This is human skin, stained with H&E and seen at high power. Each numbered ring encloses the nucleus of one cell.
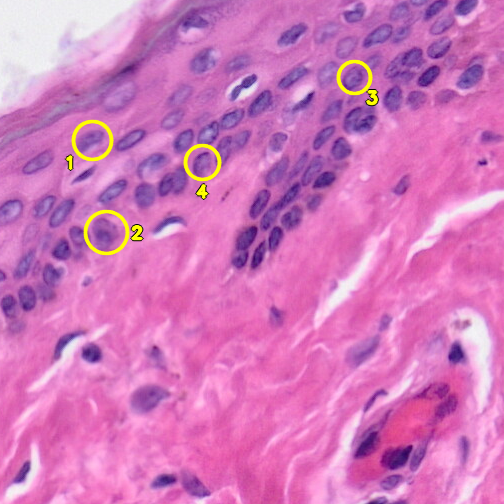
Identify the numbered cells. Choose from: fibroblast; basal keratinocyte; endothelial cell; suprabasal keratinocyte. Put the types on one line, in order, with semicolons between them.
suprabasal keratinocyte; basal keratinocyte; suprabasal keratinocyte; basal keratinocyte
